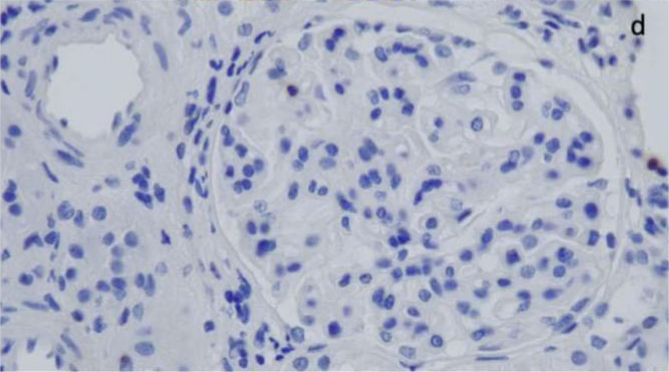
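A kidney glomerulus is seen at high power within its capsule, its tuft made of many blue-stained nuclei among thin pale capillary walls. Tubules and interstitial cells with blue nuclei surround the capsule.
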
